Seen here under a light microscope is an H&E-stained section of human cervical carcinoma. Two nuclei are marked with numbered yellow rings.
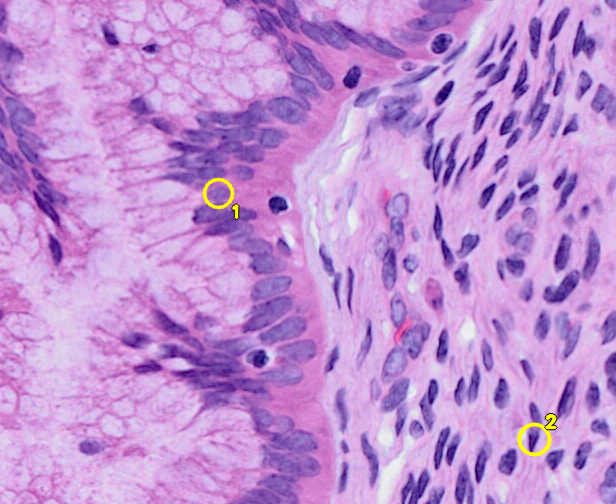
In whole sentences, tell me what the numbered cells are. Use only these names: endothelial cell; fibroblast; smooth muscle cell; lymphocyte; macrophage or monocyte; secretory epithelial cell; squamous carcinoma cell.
Cell 1 is a secretory epithelial cell and cell 2 is a fibroblast.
